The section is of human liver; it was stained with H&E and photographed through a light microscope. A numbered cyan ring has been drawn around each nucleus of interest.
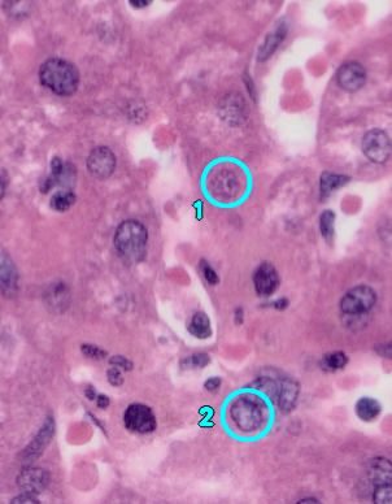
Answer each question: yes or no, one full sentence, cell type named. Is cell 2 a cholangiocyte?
Yes, the cell tagged with number 2 is a cholangiocyte.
